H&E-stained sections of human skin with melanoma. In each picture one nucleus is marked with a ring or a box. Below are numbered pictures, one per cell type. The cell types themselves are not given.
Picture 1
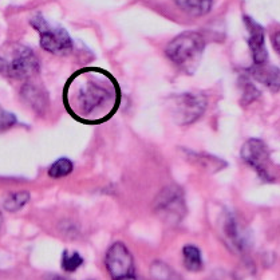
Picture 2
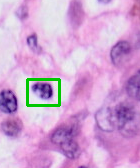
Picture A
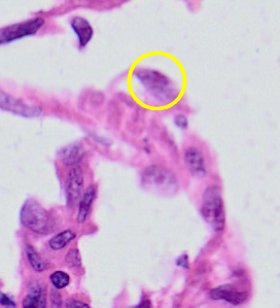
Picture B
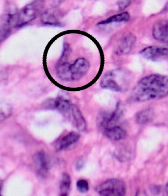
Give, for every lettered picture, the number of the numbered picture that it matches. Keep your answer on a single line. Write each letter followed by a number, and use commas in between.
A 1, B 1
